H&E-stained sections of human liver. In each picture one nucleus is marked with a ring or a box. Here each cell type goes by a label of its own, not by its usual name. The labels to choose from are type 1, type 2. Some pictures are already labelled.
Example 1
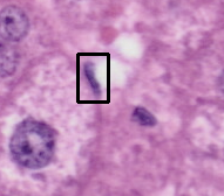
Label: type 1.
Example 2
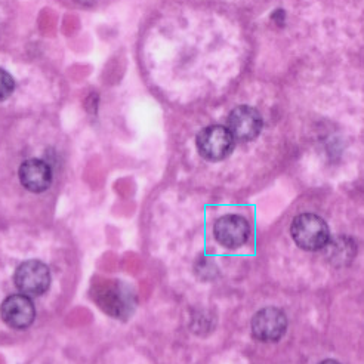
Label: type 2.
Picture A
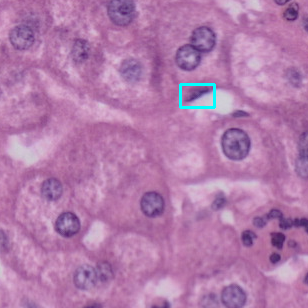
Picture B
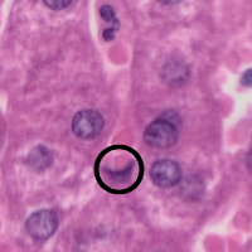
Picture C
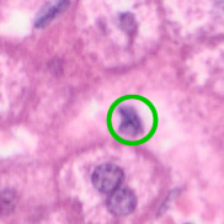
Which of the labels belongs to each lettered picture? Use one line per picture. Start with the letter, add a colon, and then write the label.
A: type 1.
B: type 1.
C: type 1.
